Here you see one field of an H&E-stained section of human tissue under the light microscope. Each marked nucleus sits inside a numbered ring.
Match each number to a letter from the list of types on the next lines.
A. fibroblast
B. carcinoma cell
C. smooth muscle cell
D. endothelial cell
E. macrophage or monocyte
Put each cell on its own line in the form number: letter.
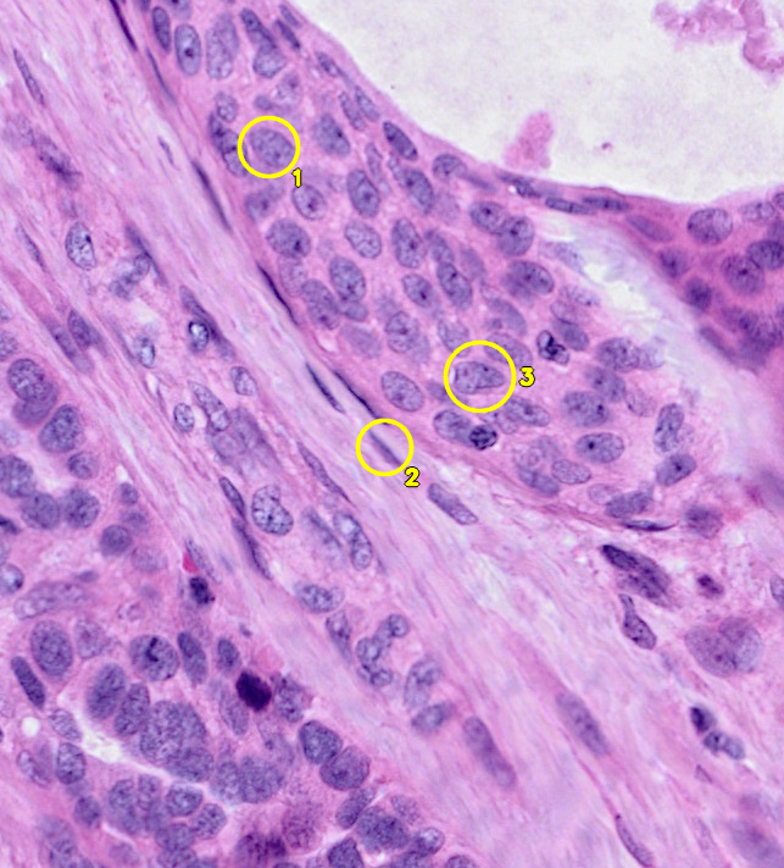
1: B
2: A
3: B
